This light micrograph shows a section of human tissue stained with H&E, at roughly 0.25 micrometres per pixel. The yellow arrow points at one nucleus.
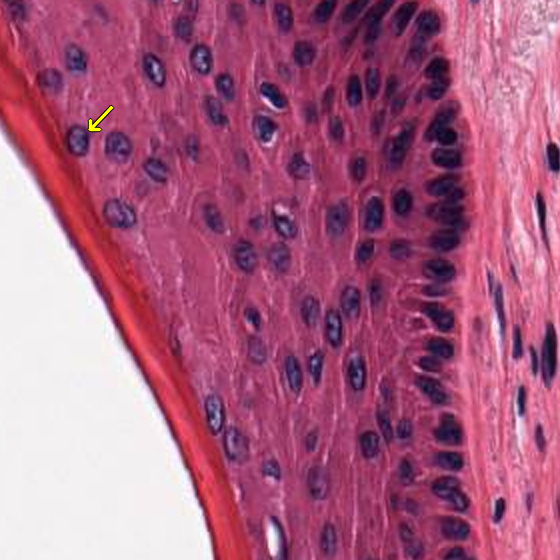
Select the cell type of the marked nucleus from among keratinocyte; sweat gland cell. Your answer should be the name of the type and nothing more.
keratinocyte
